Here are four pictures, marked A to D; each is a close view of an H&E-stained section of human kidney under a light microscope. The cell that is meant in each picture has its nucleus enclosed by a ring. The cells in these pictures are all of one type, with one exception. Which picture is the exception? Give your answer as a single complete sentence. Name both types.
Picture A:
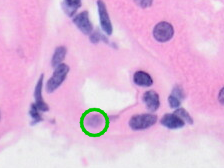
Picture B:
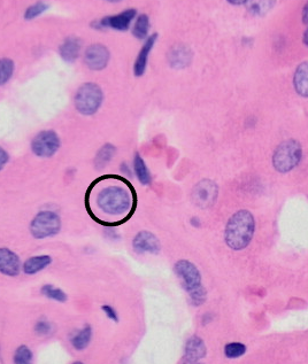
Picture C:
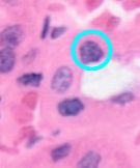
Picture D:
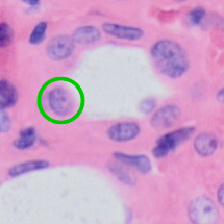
Unlike the rest, which show collecting duct cells, picture C shows a “loop of Henle or distal tubule cell”.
